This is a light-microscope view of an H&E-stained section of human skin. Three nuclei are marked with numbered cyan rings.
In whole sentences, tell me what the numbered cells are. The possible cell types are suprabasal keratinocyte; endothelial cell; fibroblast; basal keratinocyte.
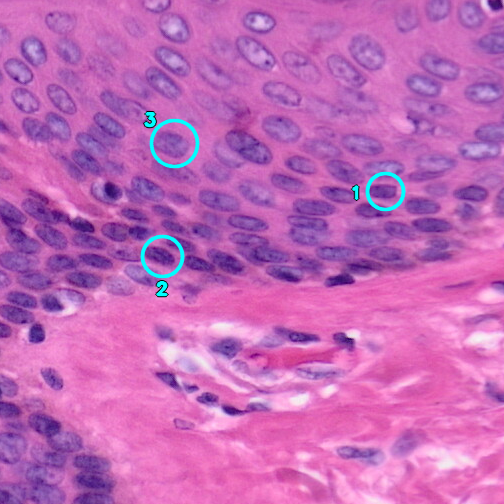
Cells 1 and 2 are basal keratinocytes. Cell 3 is a suprabasal keratinocyte.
